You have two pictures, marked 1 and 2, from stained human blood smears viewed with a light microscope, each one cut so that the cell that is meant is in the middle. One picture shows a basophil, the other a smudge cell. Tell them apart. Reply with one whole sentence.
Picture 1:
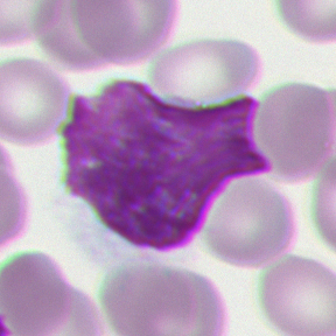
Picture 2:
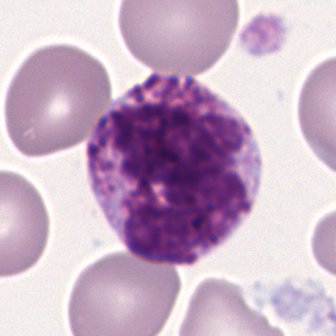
Picture 1 shows a smudge cell and picture 2 shows a basophil.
